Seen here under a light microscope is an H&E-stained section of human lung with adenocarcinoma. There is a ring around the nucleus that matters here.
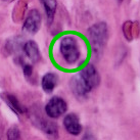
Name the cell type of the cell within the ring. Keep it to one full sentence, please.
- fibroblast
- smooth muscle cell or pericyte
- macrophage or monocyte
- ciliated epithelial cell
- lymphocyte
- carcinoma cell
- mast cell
As for its identity, the cell within the ring is a lymphocyte.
